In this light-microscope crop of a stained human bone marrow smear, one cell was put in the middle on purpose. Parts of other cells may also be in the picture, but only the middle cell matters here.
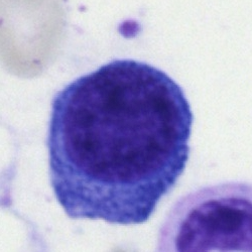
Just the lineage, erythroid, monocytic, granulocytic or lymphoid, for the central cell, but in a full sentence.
On lineage, the cell in the middle of the crop is erythroid.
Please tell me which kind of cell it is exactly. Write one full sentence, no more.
In the central position of this crop, the cell is a proerythroblast.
